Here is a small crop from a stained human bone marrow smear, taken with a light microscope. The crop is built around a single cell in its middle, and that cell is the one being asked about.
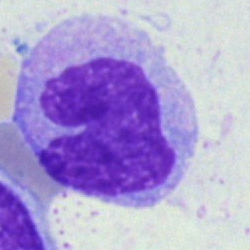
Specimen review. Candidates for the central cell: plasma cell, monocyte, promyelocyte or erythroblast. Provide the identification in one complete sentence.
The cell shown in the center of this light-microscope crop is a monocyte.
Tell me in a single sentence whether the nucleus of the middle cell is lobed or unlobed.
In this cell the nucleus is a solitary compact mass, round, oval or kidney-shaped.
